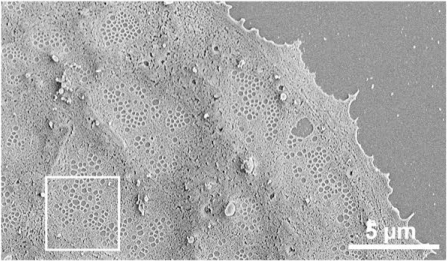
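An overview of part of a single flattened endothelial cell lying on a smooth substrate, its edge running diagonally with fine spiky projections. Across the thin peripheral cytoplasm, many patches of tiny round pores are scattered, each patch forming a sieve-like field; toward the upper left the surface is thicker and ridged. A few small particles and blebs sit on the surface, and a white box marks one pore cluster.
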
